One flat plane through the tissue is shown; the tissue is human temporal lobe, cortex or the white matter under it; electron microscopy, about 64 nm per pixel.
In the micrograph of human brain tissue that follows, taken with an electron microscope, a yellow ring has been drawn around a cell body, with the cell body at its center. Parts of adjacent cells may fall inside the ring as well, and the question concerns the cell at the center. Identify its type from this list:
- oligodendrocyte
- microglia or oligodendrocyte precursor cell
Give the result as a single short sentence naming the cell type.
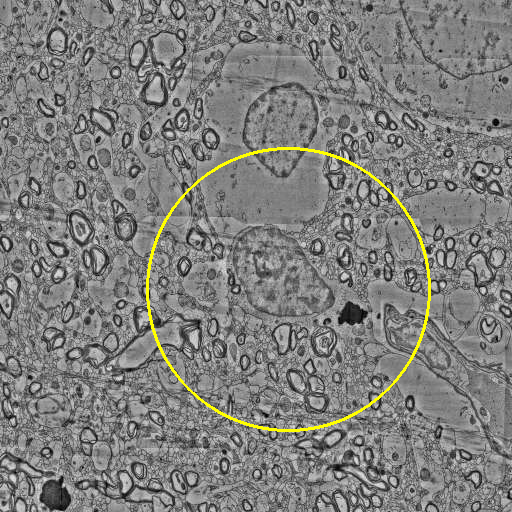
The ring is centered on an oligodendrocyte.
